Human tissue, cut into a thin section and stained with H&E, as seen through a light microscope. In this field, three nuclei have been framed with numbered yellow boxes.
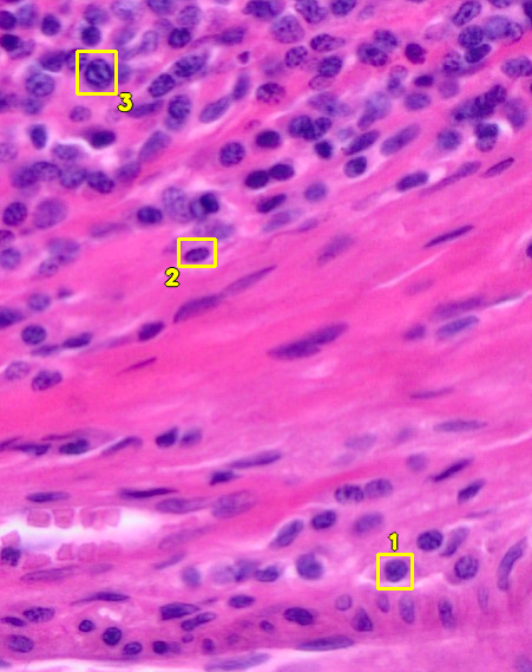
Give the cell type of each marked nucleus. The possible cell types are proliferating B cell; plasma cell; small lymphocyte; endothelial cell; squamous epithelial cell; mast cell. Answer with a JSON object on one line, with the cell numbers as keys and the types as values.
{"1": "mast cell", "2": "mast cell", "3": "plasma cell"}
